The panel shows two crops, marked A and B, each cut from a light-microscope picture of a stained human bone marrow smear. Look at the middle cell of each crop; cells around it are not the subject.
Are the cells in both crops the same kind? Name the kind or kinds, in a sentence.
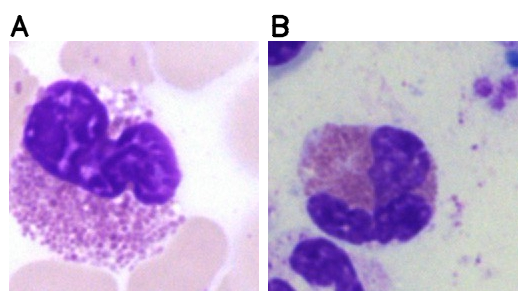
Yes, the crops both have eosinophils in the middle.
